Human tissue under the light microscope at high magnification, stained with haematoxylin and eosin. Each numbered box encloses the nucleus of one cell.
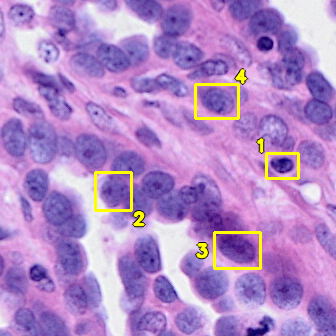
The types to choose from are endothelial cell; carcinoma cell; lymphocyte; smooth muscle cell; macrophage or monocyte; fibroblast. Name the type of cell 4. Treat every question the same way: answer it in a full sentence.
It is as a carcinoma cell that the cell numbered 4 is identified.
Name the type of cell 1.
The nucleus marked 1 is the nucleus of a lymphocyte.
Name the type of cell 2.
That cell with number 2 is a carcinoma cell.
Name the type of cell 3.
Looking at the numbered marks, cell 3 is a carcinoma cell.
